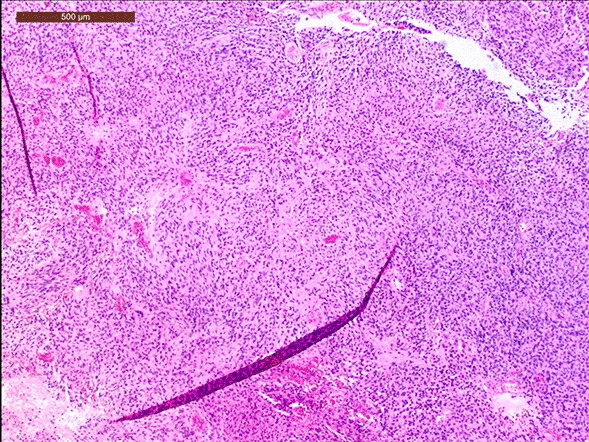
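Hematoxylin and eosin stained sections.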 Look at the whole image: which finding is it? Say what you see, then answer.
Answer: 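Dark purple nuclei are densely packed across most of the section.
Hence: hypercellular tissue.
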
